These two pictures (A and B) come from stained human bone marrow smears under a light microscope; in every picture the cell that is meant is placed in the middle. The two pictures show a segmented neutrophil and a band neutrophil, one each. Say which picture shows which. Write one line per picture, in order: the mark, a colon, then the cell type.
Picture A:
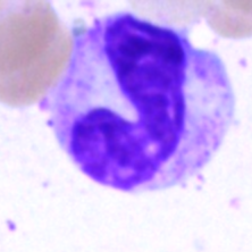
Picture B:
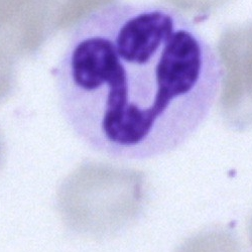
A: band neutrophil
B: segmented neutrophil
